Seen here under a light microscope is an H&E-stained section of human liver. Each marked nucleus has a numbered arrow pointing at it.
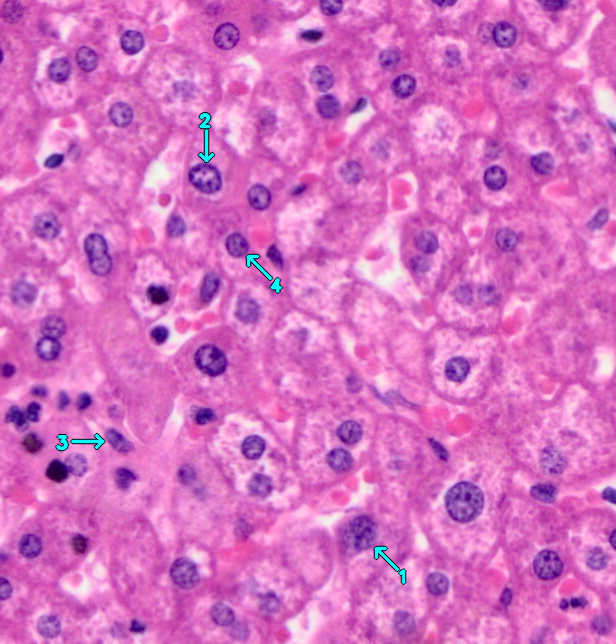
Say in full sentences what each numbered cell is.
Cell 1 is a hepatocyte, cell 2 is a hepatocyte, cell 3 is a Kupffer cell and cell 4 is a hepatocyte.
